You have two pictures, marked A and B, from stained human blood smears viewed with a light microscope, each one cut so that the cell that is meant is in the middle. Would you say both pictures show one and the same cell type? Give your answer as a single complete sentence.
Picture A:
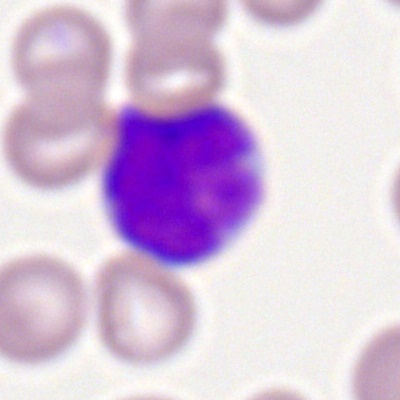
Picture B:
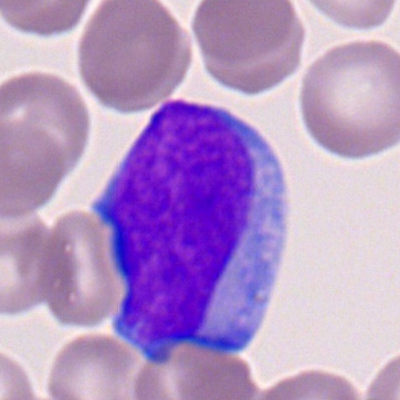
Yes; the cells in both pictures are myeloblasts.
